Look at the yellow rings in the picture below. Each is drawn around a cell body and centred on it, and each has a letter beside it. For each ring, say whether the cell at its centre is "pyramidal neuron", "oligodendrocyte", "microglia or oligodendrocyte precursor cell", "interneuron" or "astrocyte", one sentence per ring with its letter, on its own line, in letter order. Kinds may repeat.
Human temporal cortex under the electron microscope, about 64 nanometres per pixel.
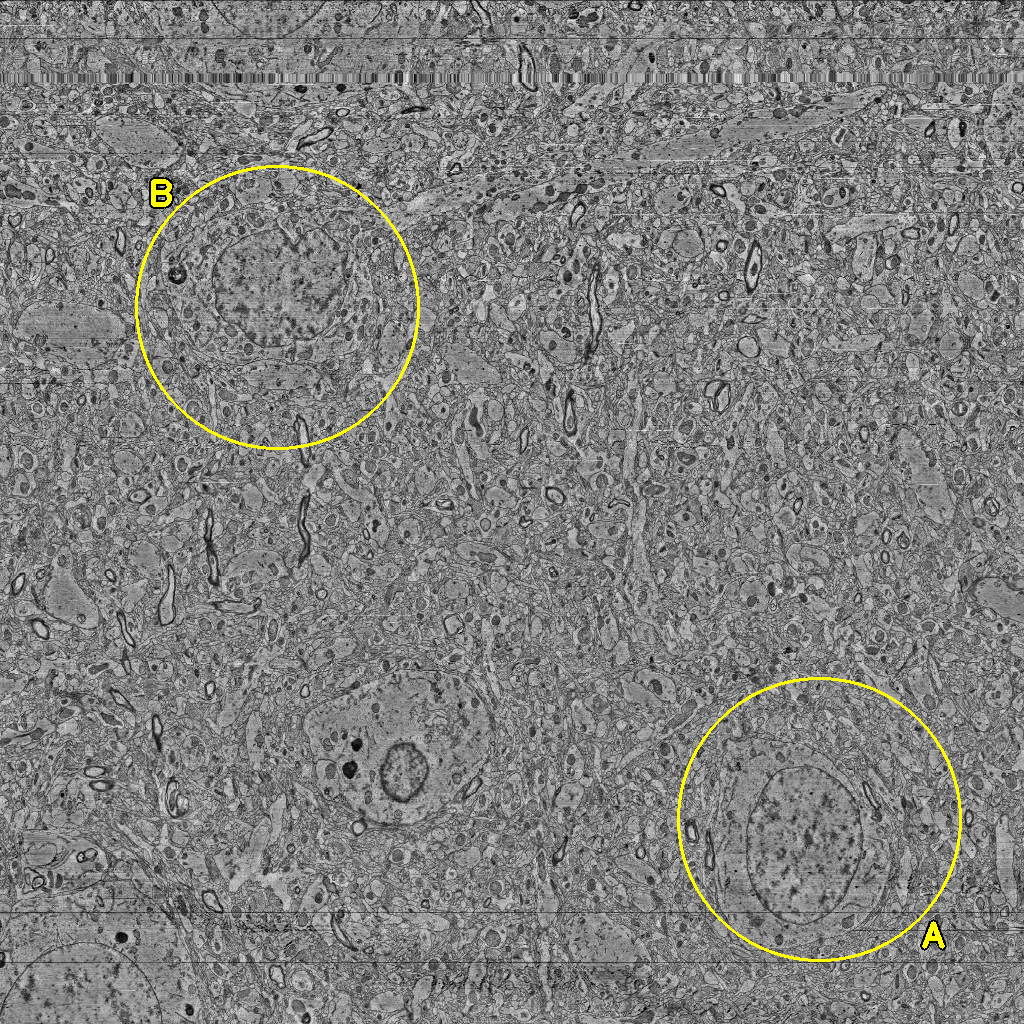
The centred cell of ring A is a pyramidal neuron.
The centred cell of ring B is an interneuron.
